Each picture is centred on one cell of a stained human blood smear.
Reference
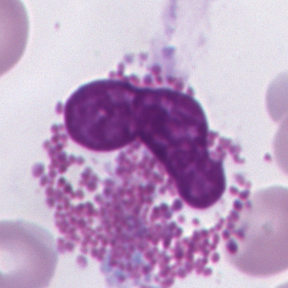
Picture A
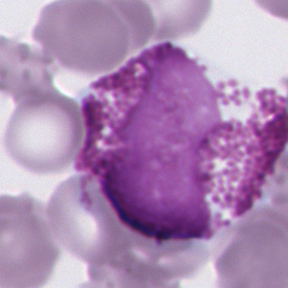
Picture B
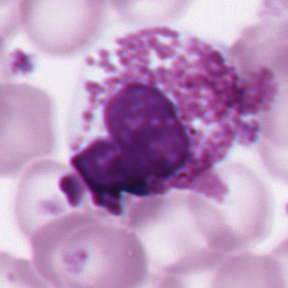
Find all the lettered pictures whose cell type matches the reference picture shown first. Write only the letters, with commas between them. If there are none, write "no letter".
A, B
